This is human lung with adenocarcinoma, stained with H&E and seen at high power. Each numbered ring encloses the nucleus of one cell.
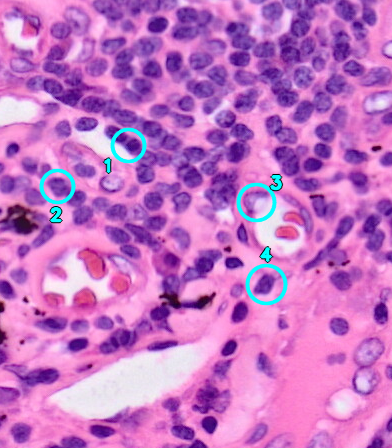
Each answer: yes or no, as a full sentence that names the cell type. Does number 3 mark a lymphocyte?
No, cell 3 is to be read as an endothelial cell, not a lymphocyte.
